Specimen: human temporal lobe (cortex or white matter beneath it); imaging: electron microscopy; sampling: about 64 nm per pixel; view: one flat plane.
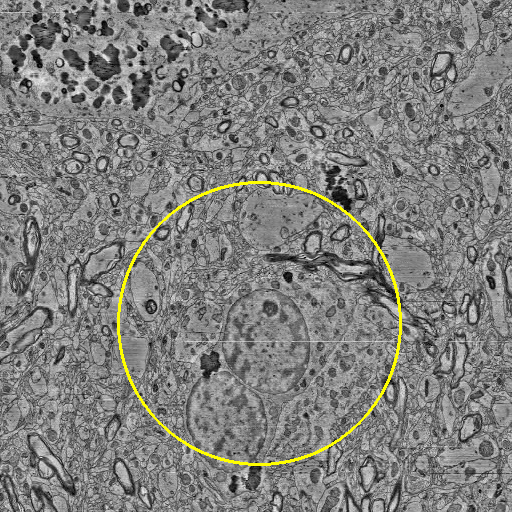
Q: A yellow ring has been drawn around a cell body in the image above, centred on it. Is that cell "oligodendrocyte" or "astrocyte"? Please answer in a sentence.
The ring surrounds the cell body of an oligodendrocyte.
